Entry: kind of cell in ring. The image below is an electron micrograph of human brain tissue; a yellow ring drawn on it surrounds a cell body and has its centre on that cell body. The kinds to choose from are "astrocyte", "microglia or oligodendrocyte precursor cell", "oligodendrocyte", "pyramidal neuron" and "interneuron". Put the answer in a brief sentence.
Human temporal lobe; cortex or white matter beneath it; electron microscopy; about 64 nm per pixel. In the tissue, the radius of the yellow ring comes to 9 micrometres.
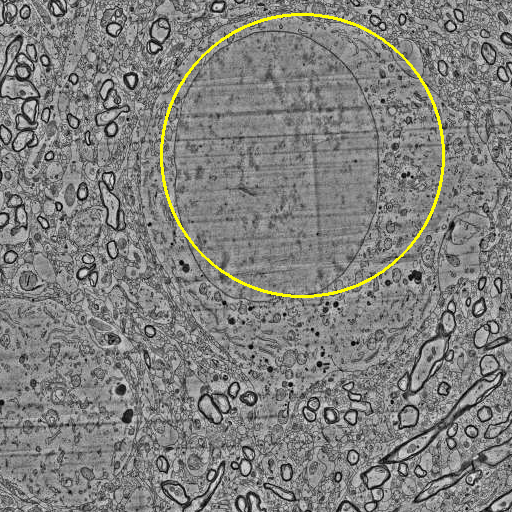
The ring has been drawn around a pyramidal neuron.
